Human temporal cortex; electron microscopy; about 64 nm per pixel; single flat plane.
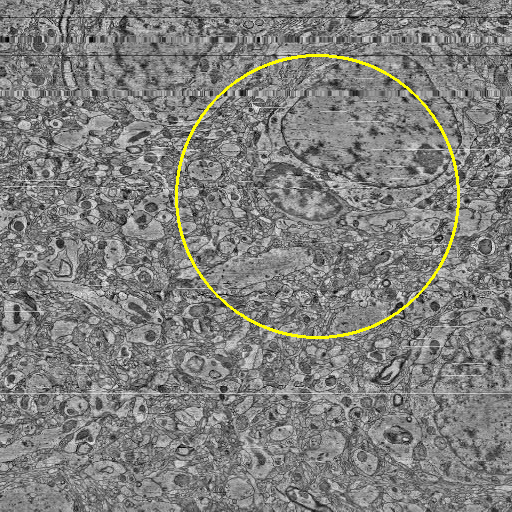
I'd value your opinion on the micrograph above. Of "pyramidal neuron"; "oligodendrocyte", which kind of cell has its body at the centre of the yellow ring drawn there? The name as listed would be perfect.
oligodendrocyte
